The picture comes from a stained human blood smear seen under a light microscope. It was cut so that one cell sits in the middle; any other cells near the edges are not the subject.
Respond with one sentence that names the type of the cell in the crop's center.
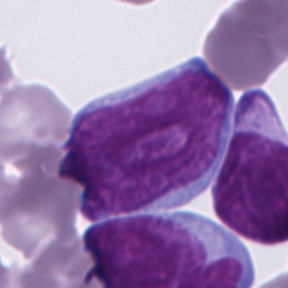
The cell nearest the centre of this crop is a blast.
